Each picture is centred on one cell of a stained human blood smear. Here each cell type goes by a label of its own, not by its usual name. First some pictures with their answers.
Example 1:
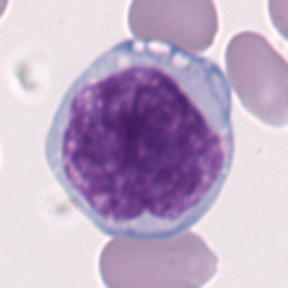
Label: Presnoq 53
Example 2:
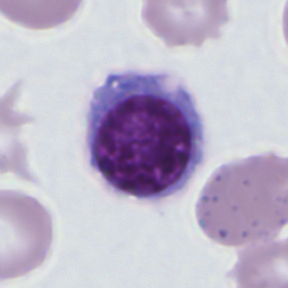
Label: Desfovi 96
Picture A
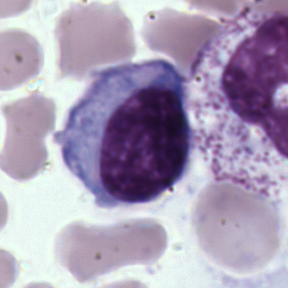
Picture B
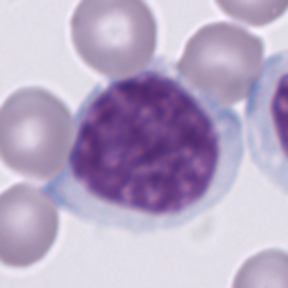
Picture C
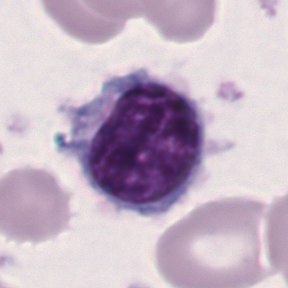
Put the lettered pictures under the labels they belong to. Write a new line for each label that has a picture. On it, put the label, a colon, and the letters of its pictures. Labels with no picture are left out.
Presnoq 53: B
Desfovi 96: A, C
